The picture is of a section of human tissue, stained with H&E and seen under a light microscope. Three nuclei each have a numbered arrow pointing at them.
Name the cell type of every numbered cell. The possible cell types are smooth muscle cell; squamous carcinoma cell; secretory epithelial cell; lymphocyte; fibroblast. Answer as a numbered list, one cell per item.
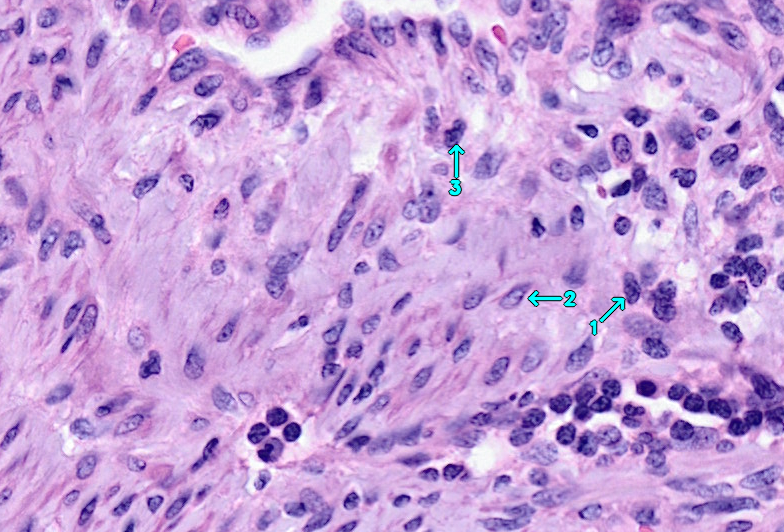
1. lymphocyte
2. smooth muscle cell
3. lymphocyte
